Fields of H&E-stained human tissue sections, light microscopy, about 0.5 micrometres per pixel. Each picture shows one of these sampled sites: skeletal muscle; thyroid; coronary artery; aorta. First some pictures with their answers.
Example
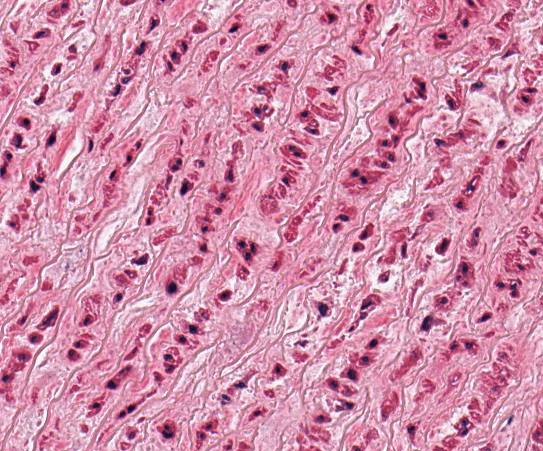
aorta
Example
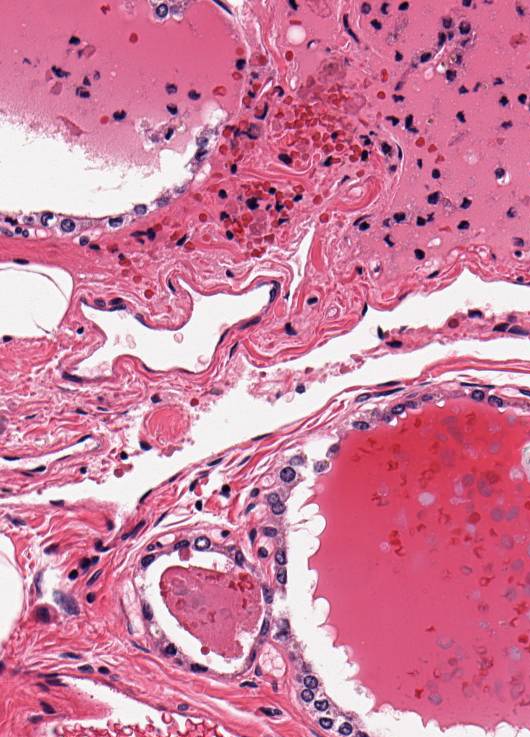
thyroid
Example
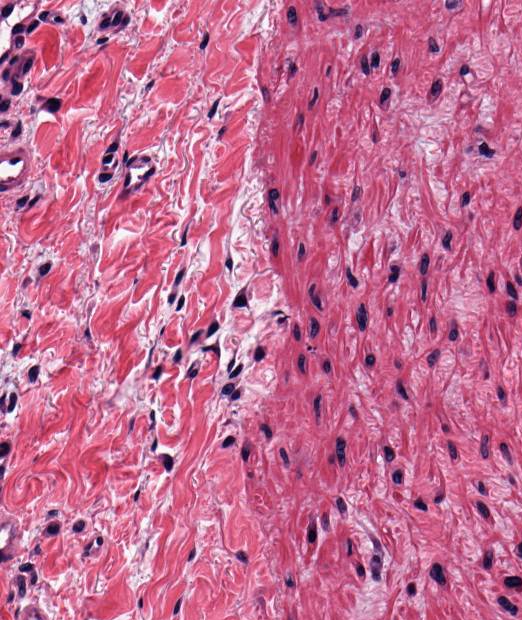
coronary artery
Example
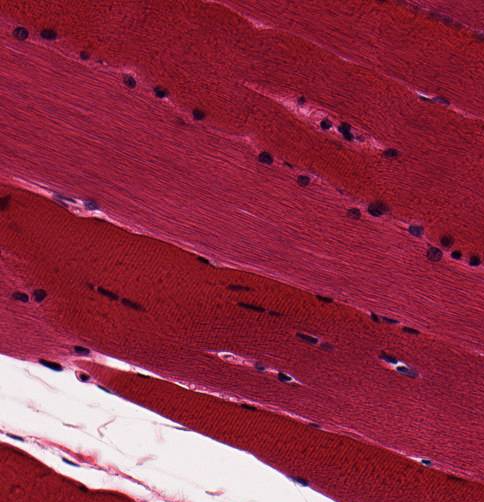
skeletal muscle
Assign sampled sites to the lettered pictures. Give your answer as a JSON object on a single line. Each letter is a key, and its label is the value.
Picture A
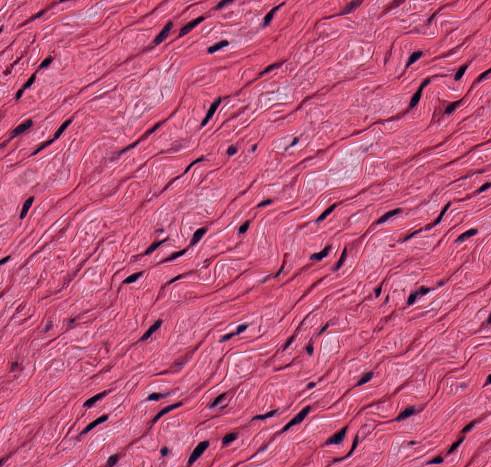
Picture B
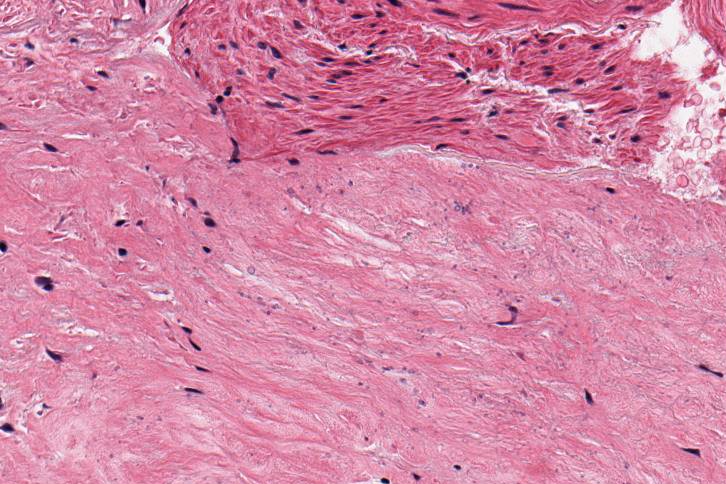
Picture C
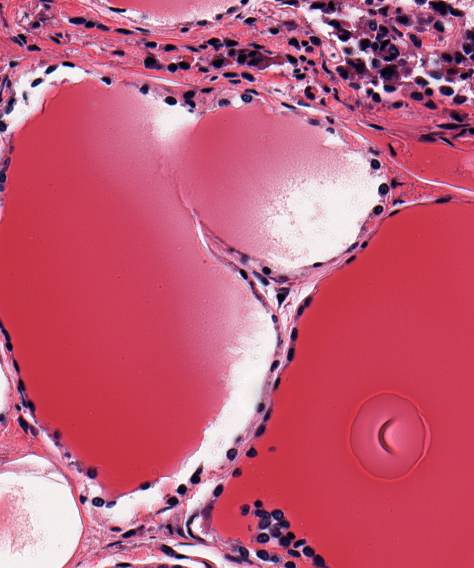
{"A": "aorta", "B": "coronary artery", "C": "thyroid"}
